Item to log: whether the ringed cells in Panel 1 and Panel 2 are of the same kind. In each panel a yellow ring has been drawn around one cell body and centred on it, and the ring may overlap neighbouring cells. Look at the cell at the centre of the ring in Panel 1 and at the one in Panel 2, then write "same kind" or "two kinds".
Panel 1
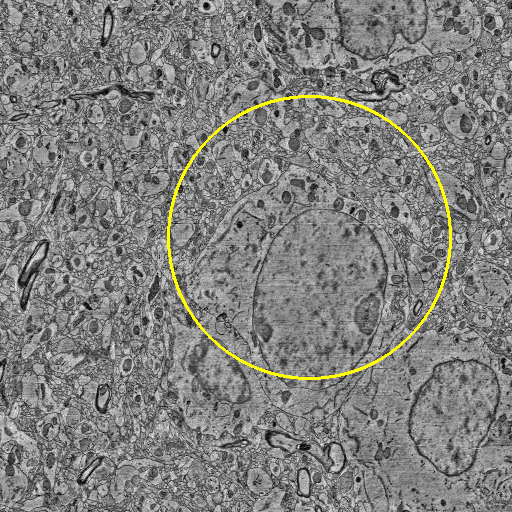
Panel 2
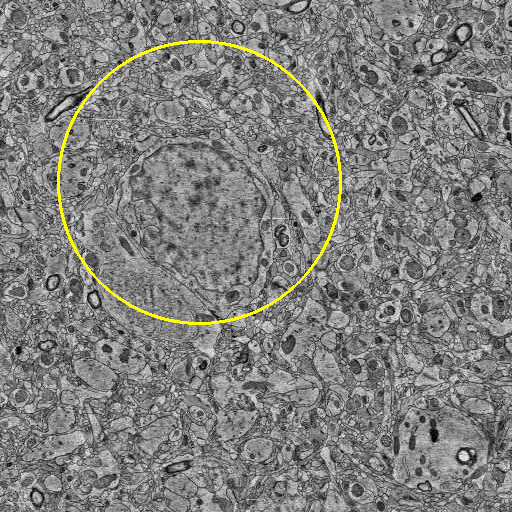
two kinds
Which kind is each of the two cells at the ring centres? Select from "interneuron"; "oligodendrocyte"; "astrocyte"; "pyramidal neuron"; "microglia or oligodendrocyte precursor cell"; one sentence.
The cell at the centre of the ring is a pyramidal neuron in the first picture and an interneuron in the second.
